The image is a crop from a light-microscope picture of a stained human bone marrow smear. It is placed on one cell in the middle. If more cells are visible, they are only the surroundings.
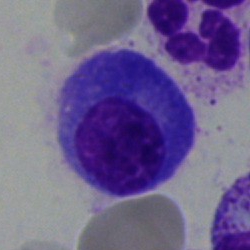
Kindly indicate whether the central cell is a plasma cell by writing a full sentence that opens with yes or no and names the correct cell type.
Yes, this is a plasma cell, the cell in the middle of the crop.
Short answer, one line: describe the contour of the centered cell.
There are no projections here; the outline is simply smooth.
